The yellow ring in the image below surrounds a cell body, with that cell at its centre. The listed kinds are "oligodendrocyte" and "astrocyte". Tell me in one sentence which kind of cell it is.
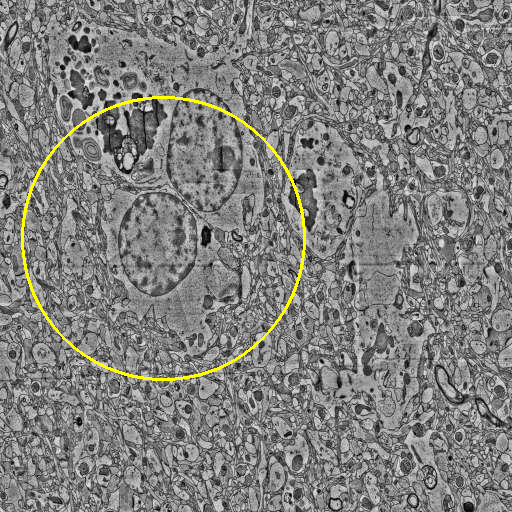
The centre of the ring holds an astrocyte.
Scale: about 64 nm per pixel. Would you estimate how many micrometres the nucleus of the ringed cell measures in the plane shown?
Roughly 7 by 5 micrometres in this plane, for the nucleus of the ringed cell.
